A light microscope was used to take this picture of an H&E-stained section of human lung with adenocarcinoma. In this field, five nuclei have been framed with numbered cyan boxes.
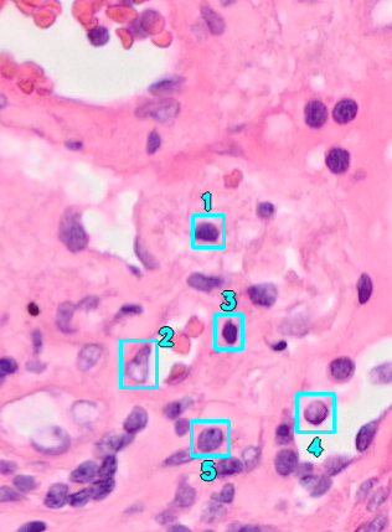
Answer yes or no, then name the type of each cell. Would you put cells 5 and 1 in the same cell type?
No, that's off: cell 5 is a mast cell and cell 1 is a lymphocyte.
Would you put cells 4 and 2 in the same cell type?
No; whereas cell 4 is a lymphocyte, cell 2 is an endothelial cell.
